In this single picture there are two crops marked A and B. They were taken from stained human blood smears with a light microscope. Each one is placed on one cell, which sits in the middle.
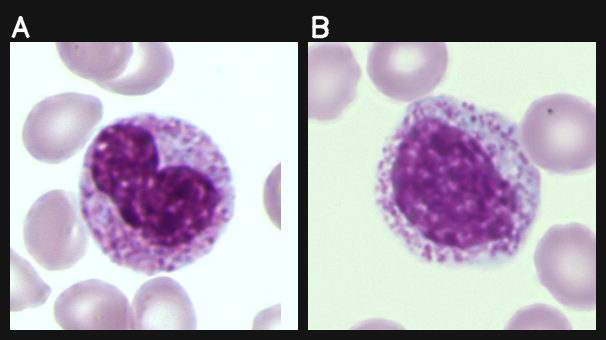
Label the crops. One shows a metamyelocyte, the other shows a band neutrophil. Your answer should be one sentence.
Crop A holds a band neutrophil; crop B holds a metamyelocyte.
